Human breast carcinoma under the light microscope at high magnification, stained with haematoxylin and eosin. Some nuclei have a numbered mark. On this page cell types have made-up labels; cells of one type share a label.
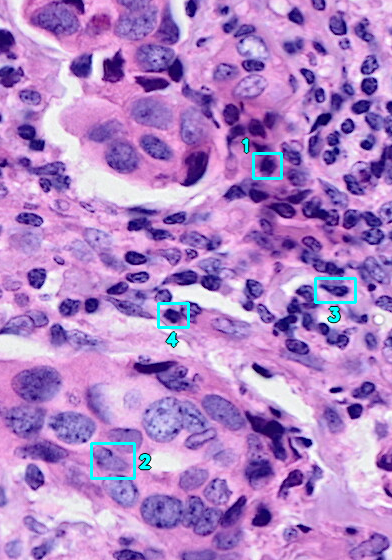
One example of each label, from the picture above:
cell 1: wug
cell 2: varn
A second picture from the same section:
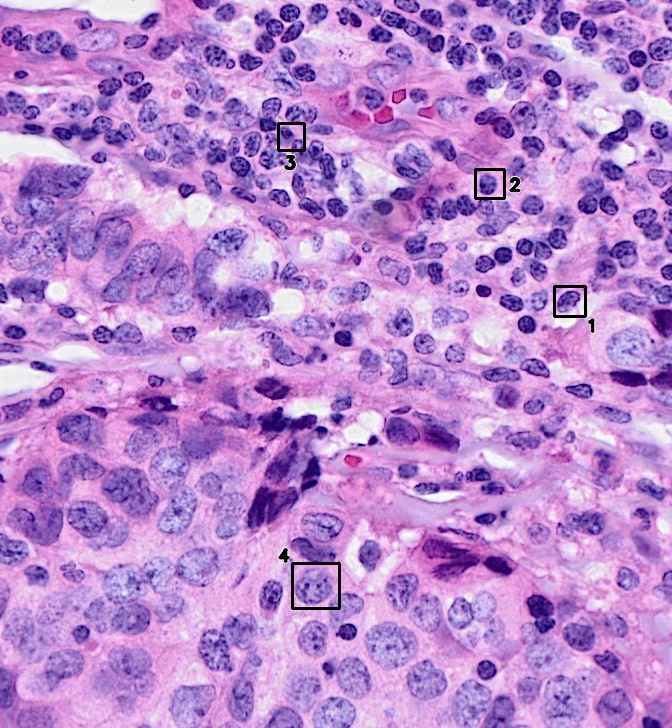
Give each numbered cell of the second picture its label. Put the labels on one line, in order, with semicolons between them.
wug; wug; wug; varn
